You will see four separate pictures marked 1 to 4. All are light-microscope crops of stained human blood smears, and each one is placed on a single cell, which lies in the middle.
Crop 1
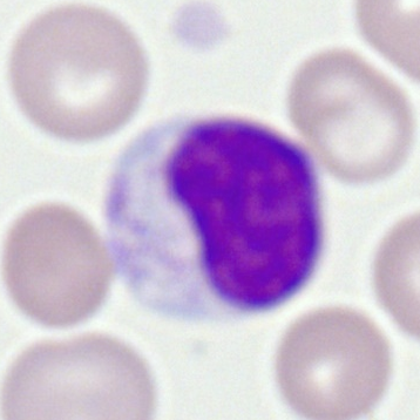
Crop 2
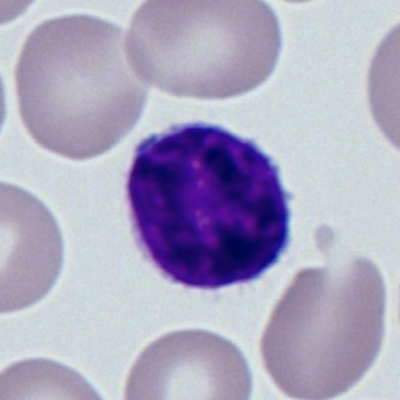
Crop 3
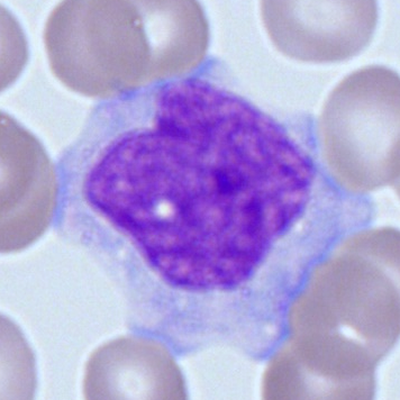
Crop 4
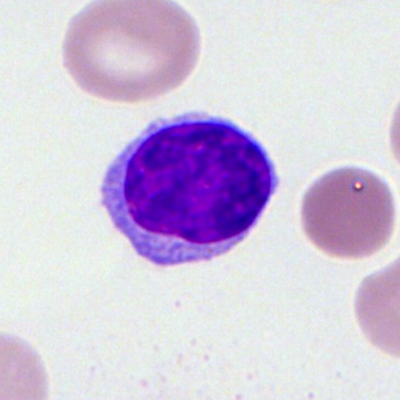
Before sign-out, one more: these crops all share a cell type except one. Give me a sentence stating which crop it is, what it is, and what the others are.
All of the other crops show lymphocytes; crop 3, by contrast, is a monocyte.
